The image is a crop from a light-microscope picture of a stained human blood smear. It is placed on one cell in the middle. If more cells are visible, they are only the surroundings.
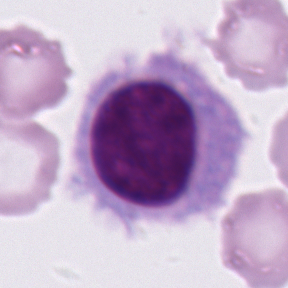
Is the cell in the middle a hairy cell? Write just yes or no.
yes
